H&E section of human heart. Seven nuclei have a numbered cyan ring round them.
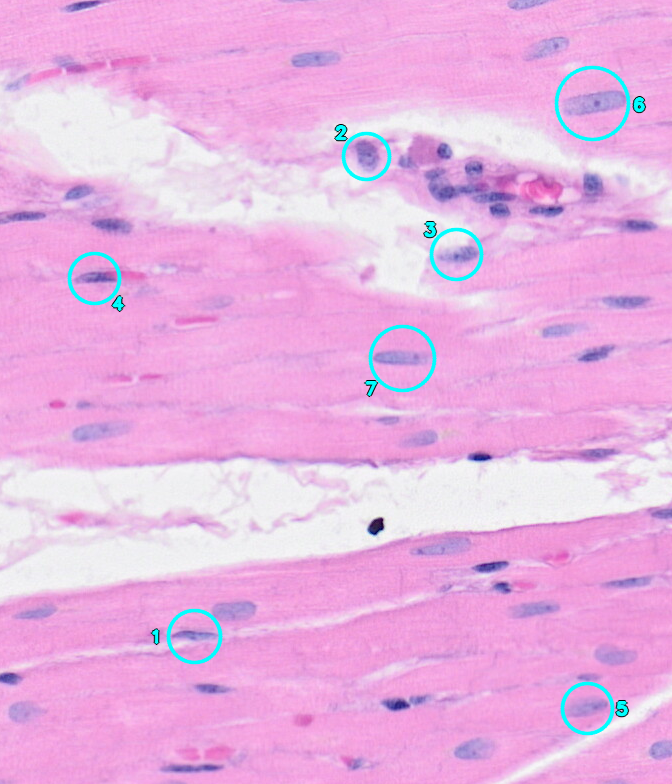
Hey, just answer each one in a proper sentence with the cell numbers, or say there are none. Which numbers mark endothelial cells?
The cells with labels 1 and 4 are endothelial cells.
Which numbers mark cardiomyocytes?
Regarding the numbered cells 5, 6 and 7, these are cardiomyocytes.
